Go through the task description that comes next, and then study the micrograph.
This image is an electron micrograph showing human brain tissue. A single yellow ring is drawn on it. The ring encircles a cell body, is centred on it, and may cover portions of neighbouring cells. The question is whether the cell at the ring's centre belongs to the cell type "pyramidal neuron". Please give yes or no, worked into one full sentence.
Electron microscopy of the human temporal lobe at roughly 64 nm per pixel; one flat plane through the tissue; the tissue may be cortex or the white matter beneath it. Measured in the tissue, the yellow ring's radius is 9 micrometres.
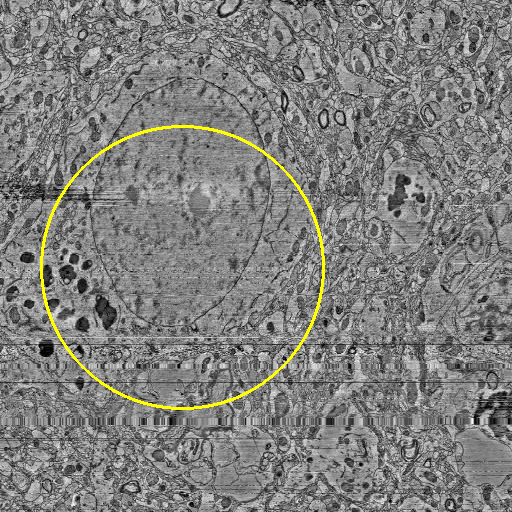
Yes, the cell that the ring is centred on in the micrograph is of this kind.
